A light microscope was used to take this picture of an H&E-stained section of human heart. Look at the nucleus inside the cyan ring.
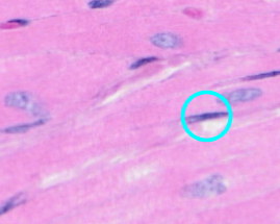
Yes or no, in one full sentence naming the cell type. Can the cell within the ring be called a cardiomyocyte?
No, scored properly, the cell within the ring is an endothelial cell rather than a cardiomyocyte.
